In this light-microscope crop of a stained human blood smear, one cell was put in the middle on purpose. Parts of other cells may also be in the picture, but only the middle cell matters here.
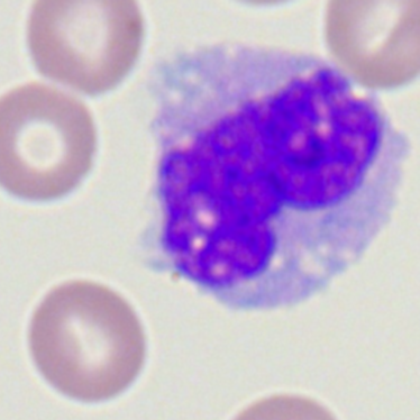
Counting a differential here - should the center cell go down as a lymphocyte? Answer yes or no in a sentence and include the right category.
No, this one is a monocyte; it is not a lymphocyte.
